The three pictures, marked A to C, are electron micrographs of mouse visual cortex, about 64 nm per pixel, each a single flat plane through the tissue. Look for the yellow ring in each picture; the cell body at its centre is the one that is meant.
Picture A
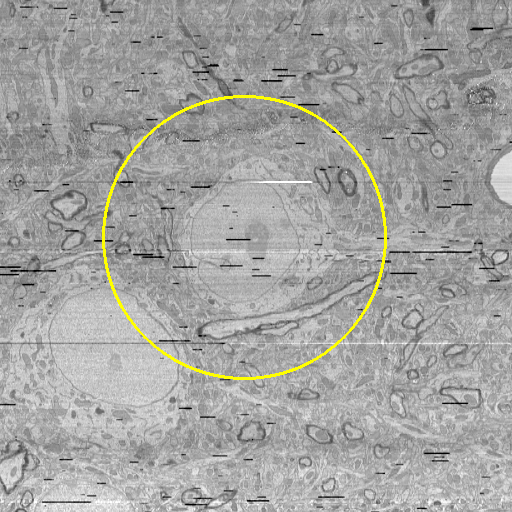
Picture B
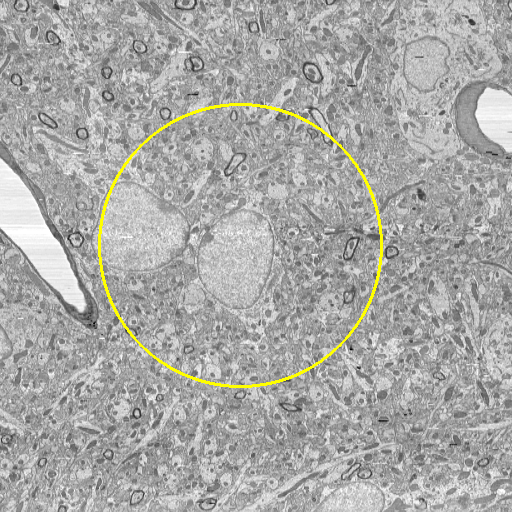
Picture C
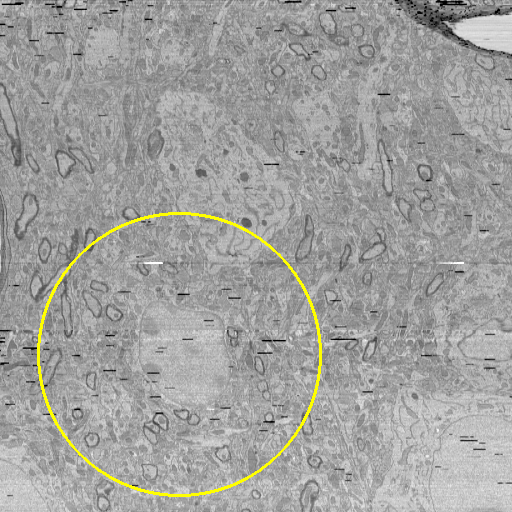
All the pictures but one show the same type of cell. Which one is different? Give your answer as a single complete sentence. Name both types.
The others show astrocytes, but picture A shows an excitatory neuron.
